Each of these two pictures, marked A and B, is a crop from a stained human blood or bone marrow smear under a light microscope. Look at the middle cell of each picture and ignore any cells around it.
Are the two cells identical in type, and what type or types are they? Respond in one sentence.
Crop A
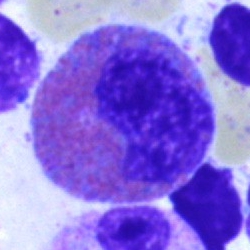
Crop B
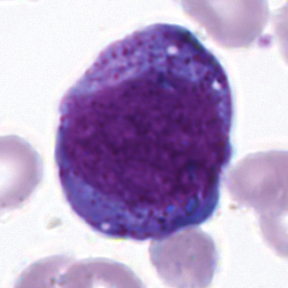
No, crop A shows an eosinophil, and the cell in crop B is a promyelocyte.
